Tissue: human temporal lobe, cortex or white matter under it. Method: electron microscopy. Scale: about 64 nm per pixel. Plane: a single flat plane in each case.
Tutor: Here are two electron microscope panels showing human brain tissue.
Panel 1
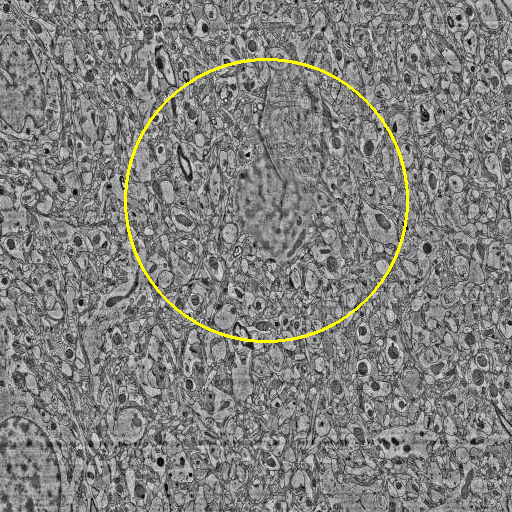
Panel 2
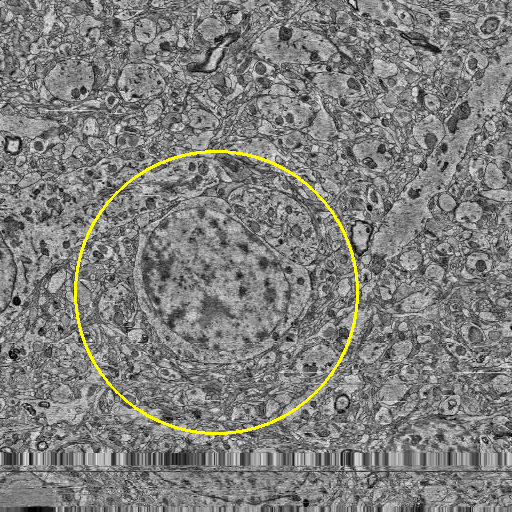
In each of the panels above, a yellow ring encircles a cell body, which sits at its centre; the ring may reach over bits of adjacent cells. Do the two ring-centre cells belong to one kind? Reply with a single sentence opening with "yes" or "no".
No, the two cells sitting at the ring centres in the panels belong to two kinds.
